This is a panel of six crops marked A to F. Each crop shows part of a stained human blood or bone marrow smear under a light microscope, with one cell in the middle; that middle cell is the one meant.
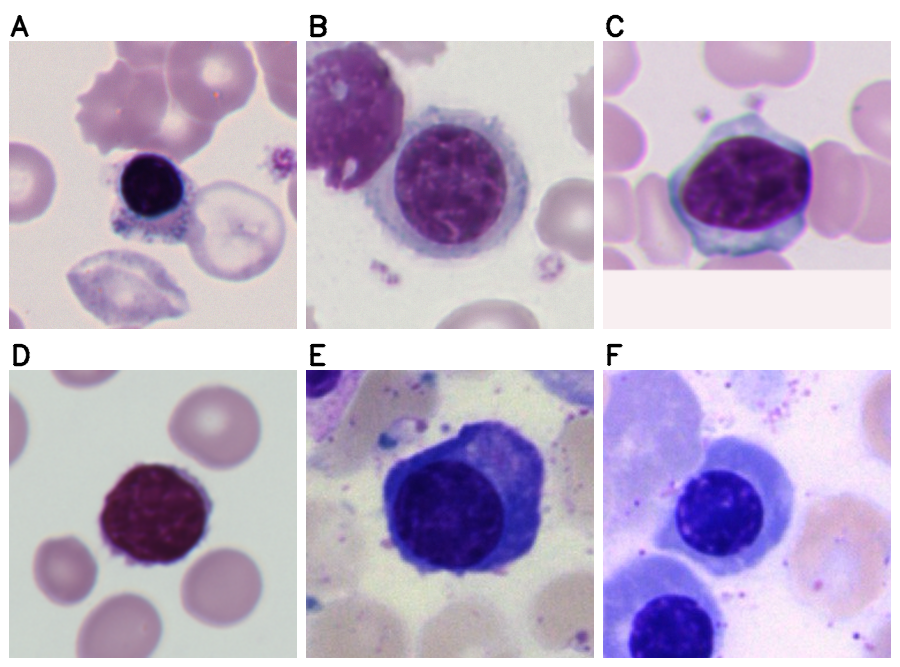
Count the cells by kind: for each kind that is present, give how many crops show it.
normoblast: 2
plasma cell: 2
lymphocyte: 2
